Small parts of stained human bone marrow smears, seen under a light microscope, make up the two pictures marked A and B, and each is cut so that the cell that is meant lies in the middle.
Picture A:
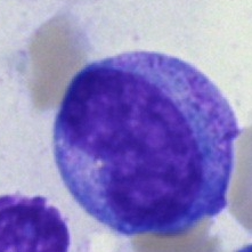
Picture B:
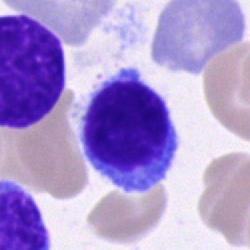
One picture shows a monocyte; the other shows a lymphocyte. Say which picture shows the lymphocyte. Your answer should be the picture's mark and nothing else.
B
